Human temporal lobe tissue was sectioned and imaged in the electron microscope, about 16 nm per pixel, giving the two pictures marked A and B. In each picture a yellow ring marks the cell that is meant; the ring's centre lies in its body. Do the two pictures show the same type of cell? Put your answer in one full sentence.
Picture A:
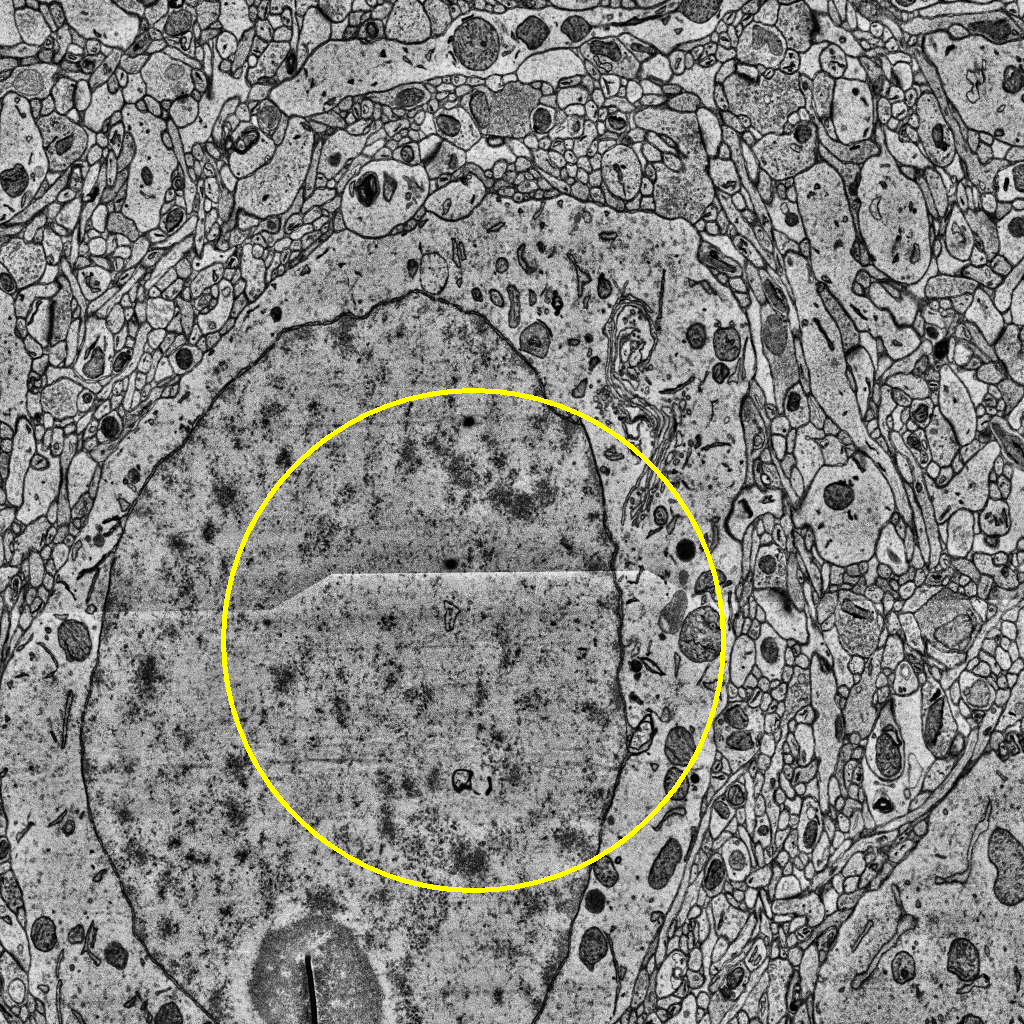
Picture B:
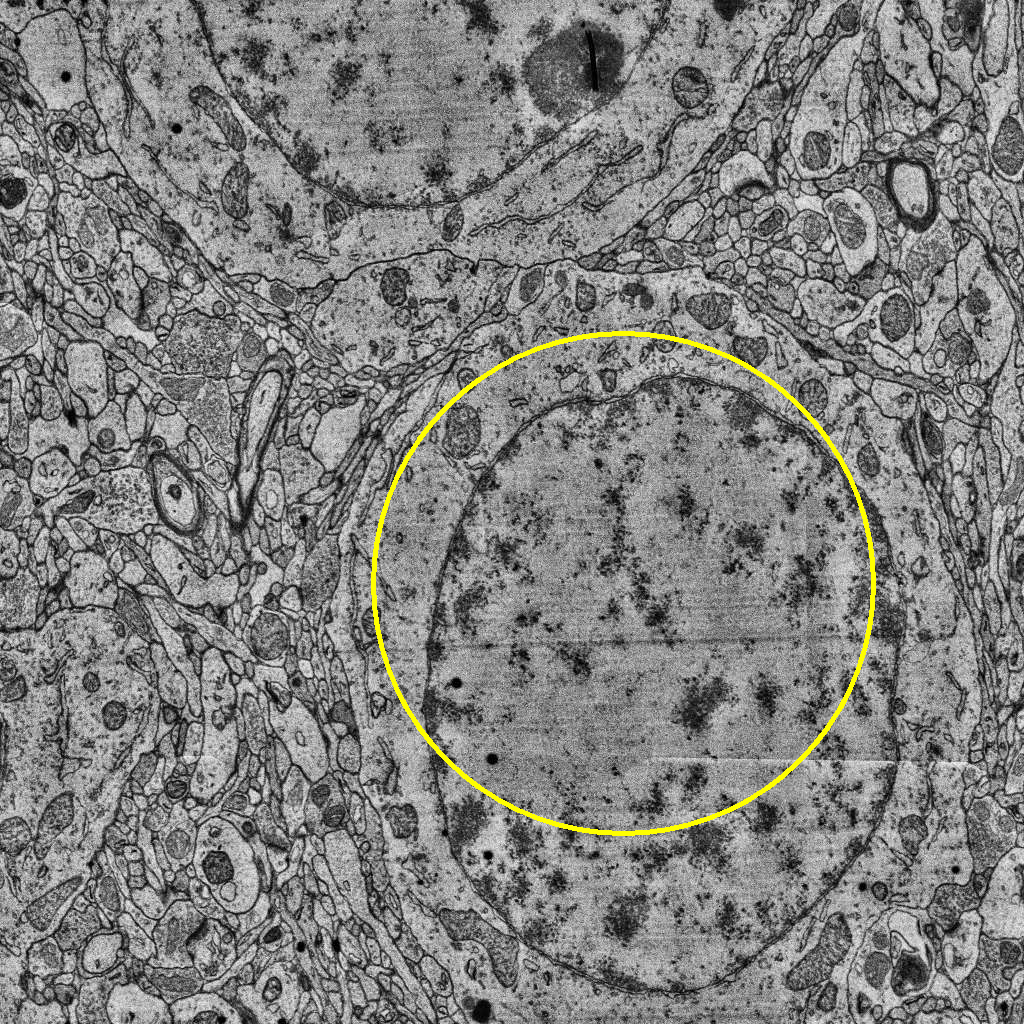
Yes, both cells are pyramidal neurons.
